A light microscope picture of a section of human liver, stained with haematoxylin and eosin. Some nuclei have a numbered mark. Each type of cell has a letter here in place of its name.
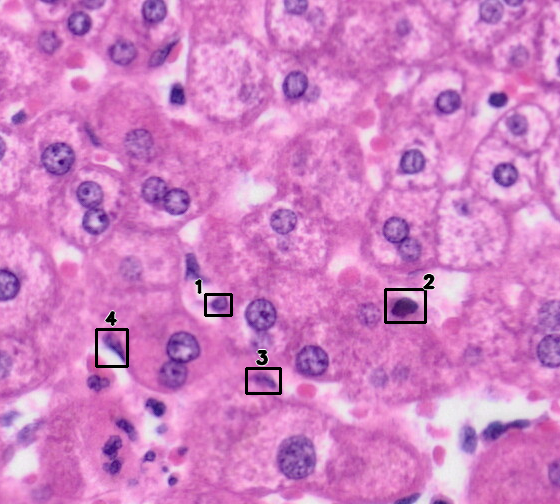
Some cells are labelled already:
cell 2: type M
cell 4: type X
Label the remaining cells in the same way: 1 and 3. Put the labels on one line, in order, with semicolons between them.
type M; type X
